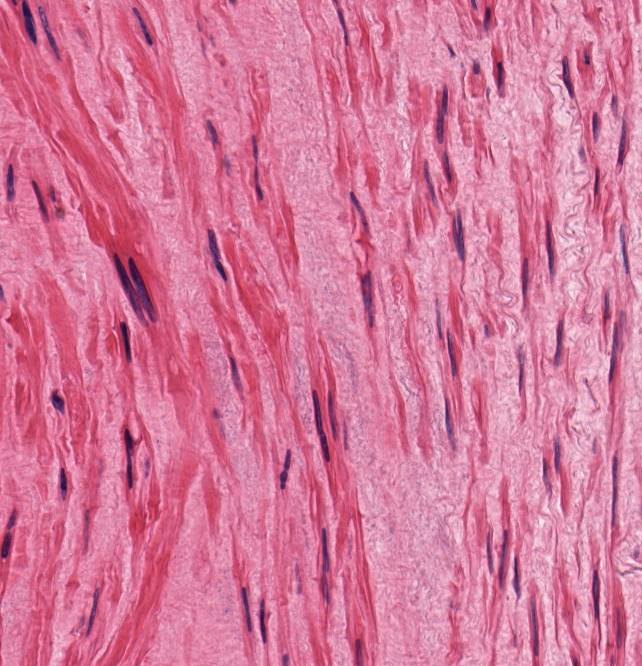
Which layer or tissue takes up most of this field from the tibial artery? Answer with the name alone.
tunica media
